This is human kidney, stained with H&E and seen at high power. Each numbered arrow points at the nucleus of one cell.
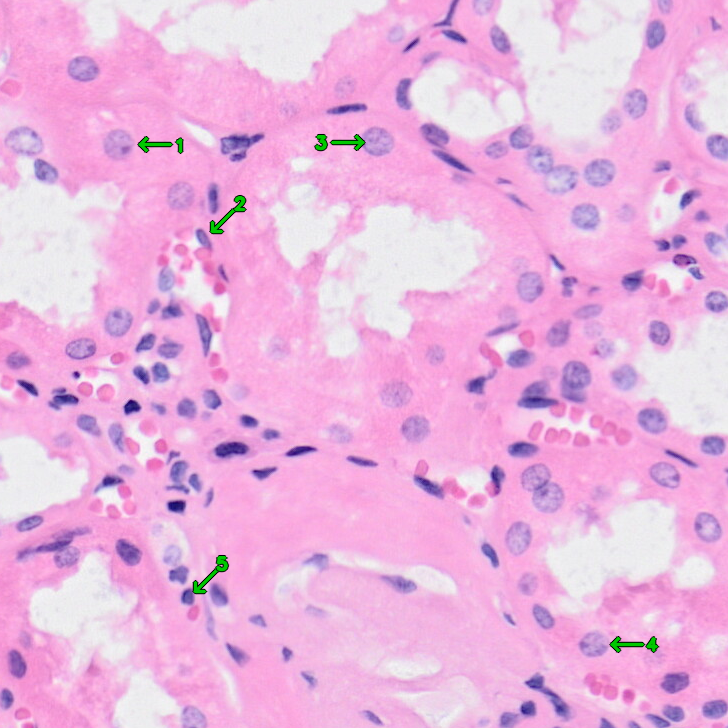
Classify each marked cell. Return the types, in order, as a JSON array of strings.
["proximal tubule cell", "endothelial cell", "proximal tubule cell", "proximal tubule cell", "endothelial cell"]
